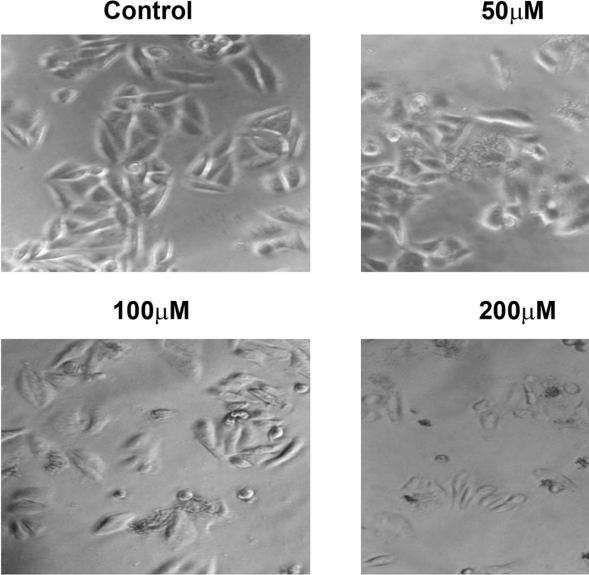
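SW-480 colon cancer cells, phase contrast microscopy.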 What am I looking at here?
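In the other fields the cells are fewer. More of them are rounded and bright-edged, and granular debris lies between them. In the sparsest field the remaining cells look shrunken and elongated, with scattered small dark bodies and large empty areas between them.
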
